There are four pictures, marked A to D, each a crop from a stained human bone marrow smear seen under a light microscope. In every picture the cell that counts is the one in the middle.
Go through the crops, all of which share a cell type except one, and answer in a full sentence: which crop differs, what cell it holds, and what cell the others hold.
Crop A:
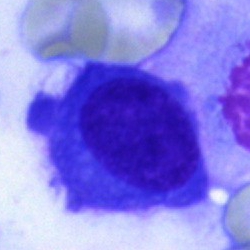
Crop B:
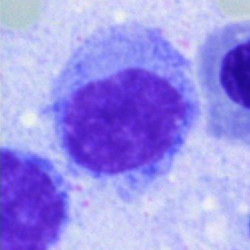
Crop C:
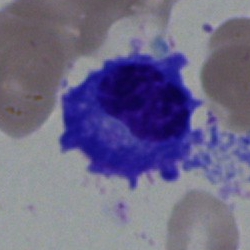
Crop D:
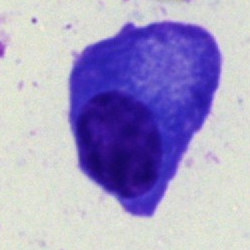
Every crop but one shows plasma cells; the exception, crop B, shows a hairy cell.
